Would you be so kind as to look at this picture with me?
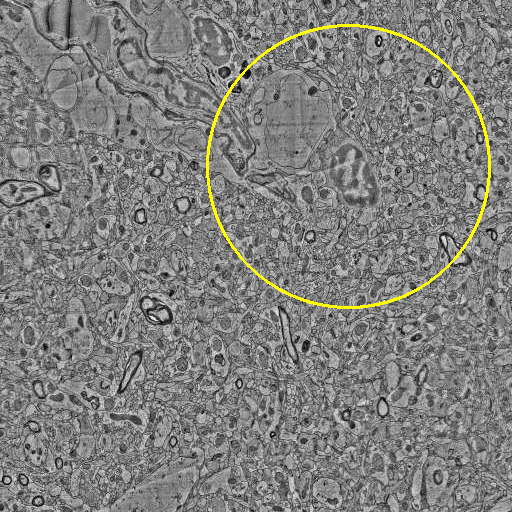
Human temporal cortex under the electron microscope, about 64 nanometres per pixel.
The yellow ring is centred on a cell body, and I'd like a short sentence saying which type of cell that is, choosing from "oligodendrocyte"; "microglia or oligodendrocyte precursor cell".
The cell body in the ring belongs to an oligodendrocyte.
